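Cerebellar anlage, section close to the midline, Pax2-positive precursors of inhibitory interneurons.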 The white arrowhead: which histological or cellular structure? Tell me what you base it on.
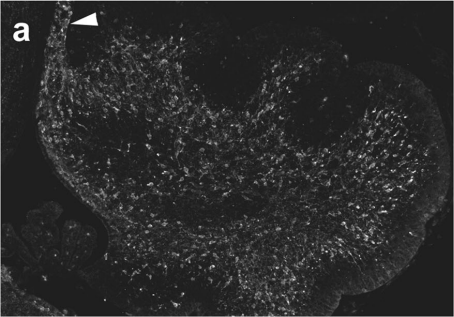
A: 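Velum medullare. The arrowhead points to a thin sheet of tissue extending from the edge of the cerebellar anlage. Labelled cells lie within this thin sheet.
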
